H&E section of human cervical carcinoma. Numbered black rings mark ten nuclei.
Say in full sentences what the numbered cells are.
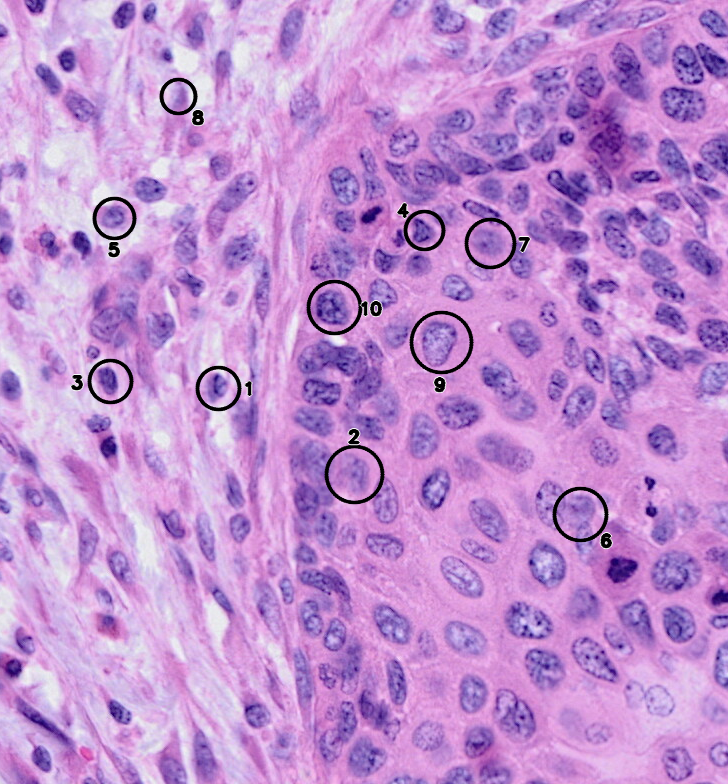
Cells 1 and 3 are lymphocytes. Cells 2, 4, 6, 7, 9 and 10 are squamous carcinoma cells. Cell 5 is a macrophage or monocyte. Cell 8 is a fibroblast.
